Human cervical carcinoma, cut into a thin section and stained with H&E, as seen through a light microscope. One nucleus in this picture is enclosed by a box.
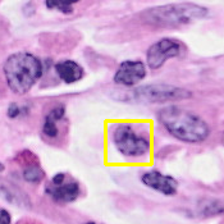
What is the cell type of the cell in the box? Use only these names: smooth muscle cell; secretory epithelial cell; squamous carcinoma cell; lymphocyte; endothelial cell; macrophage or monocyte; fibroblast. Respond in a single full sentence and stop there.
In the tissue under study, the cell in the box is a macrophage or monocyte.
